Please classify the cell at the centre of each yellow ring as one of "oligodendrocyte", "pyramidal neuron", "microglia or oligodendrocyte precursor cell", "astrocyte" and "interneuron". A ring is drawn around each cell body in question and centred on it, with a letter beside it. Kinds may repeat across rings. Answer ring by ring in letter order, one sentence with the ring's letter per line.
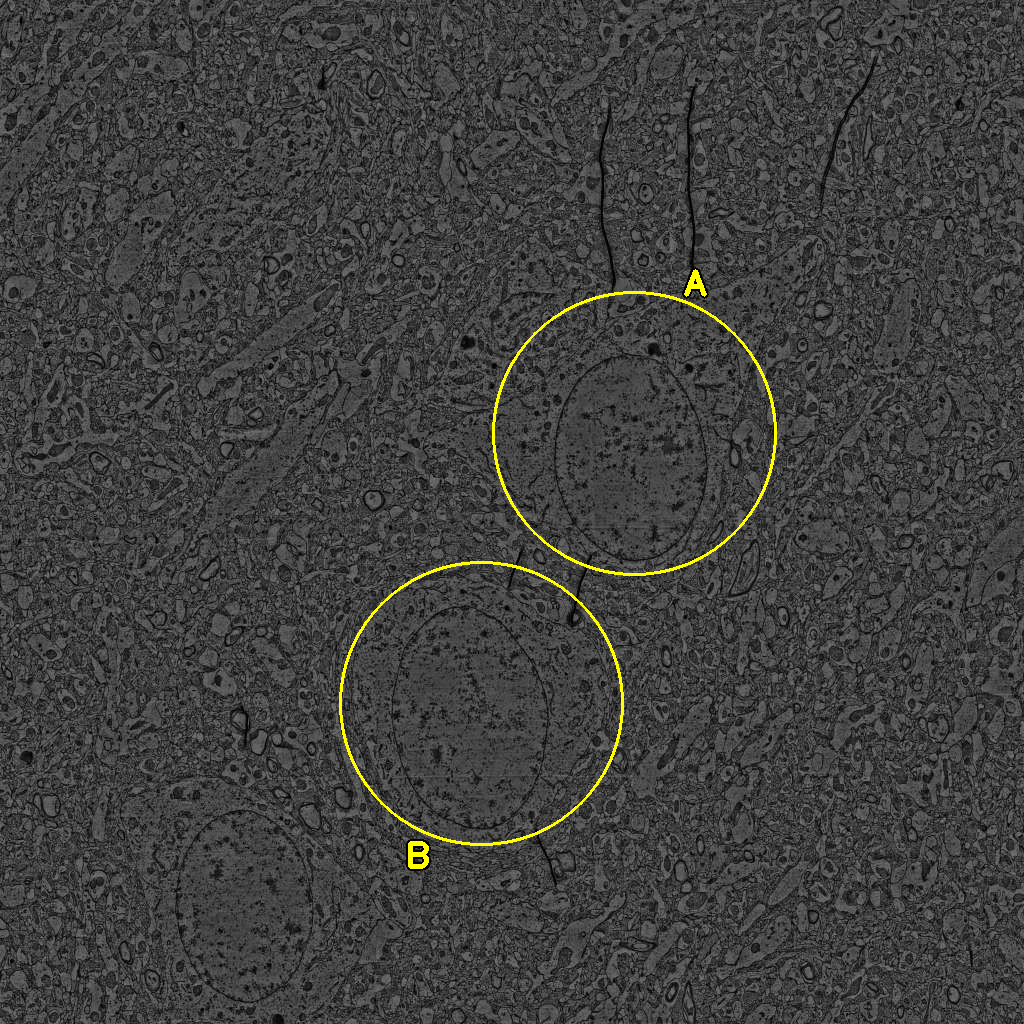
The cell at the heart of ring A is a pyramidal neuron.
The cell at the heart of ring B is a pyramidal neuron.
